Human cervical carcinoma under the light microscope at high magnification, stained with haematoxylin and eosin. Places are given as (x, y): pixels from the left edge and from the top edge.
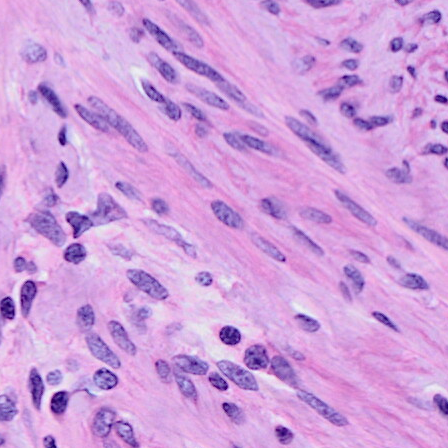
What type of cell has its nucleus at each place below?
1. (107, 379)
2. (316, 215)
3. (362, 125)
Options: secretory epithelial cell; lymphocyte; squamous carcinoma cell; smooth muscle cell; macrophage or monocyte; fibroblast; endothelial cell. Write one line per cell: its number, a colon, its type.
1: lymphocyte
2: smooth muscle cell
3: smooth muscle cell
